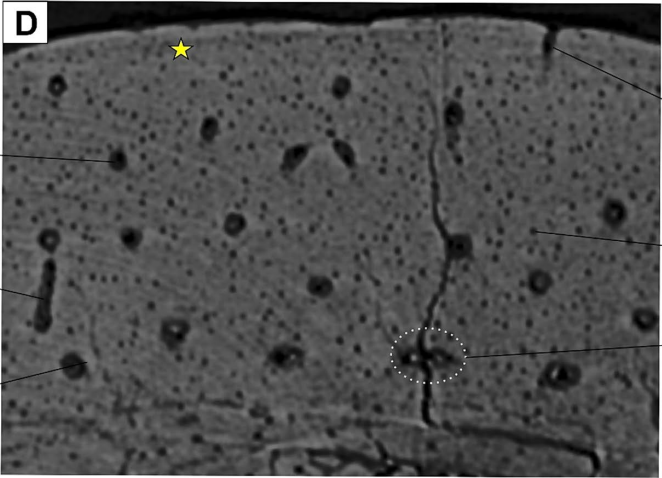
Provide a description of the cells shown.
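The matrix is uniformly grey and densely speckled with small dark dots, the osteocyte lacunae, scattered evenly throughout. Larger dark round openings, primary vascular canals with pale rims, are spaced through the cortex, fewer toward the outer surface, leaving a nearly avascular outer band. One canal opens onto the bone surface above. An elongated radial canal runs perpendicular to the surface on the left. Two canals lie close together as a pair near the bottom, cut by a vertical crack. Faint lines run parallel to the surface in the deep cortex.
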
